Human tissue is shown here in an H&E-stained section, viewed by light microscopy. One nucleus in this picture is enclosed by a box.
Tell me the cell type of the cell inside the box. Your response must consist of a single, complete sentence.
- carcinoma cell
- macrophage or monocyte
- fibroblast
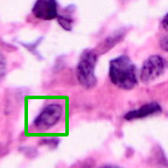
Typologically, the cell inside the box is a macrophage or monocyte in this section.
